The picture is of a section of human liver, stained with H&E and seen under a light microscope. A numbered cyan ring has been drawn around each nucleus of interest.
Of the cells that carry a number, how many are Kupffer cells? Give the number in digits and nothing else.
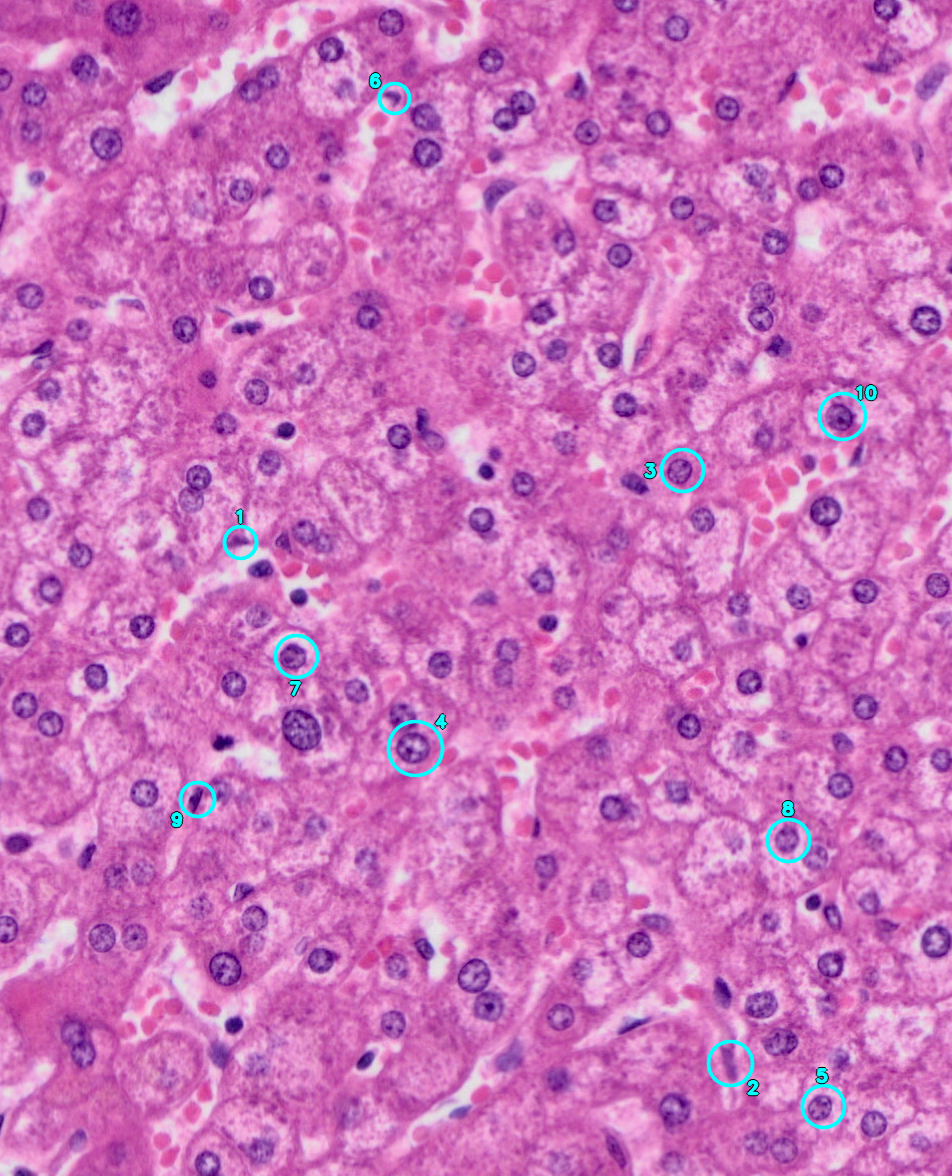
1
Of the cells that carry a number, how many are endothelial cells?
3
